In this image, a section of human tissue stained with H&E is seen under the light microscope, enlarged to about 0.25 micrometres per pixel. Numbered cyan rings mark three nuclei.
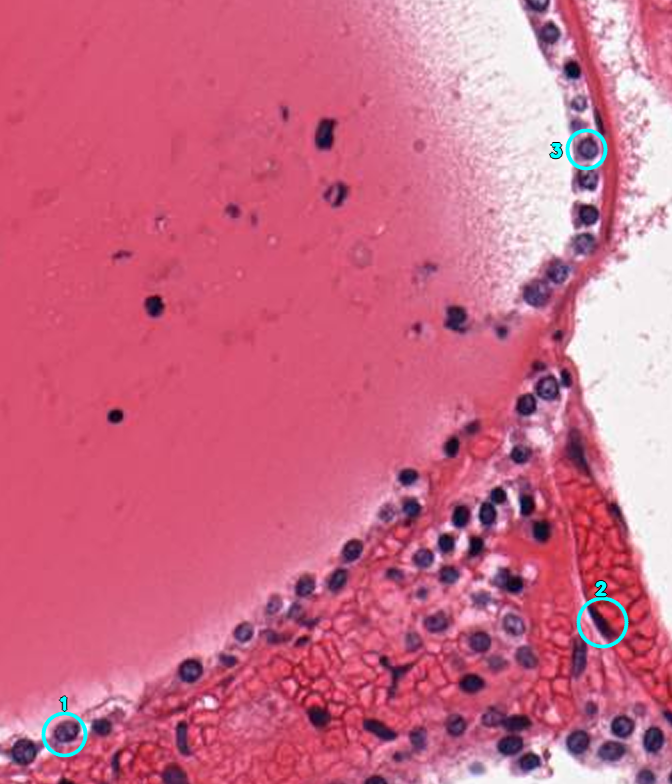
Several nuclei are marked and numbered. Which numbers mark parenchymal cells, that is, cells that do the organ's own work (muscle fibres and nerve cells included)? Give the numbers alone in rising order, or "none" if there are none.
1, 3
